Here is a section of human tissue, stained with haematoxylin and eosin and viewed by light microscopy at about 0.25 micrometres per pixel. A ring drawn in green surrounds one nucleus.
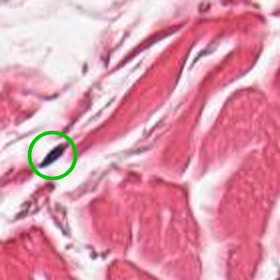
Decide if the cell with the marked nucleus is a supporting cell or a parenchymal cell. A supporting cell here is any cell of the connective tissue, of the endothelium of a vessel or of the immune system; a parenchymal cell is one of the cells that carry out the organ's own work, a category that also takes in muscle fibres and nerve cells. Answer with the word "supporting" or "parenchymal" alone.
supporting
